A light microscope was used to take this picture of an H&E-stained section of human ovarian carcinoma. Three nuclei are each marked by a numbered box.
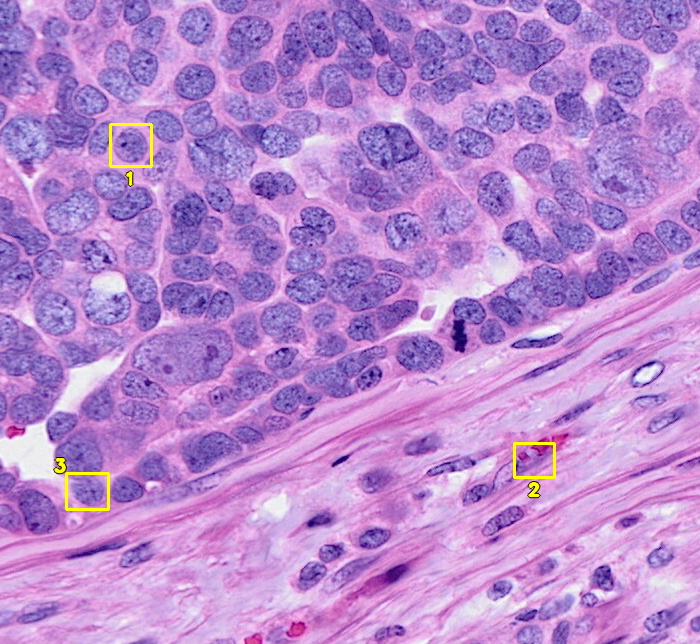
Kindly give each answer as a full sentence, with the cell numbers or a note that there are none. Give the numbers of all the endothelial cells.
In short, cell 2 is an endothelial cell; the others are not.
